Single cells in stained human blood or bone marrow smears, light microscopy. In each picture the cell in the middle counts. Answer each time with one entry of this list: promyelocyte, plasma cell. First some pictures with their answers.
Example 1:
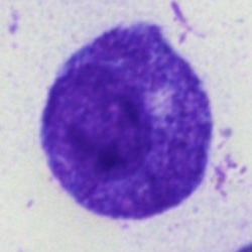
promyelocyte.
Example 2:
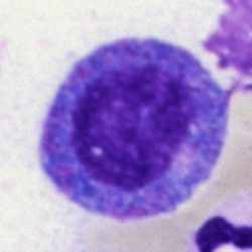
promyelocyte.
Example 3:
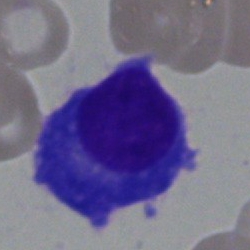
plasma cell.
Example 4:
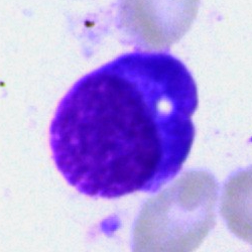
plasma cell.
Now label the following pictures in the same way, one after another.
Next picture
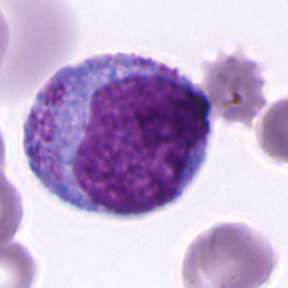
promyelocyte.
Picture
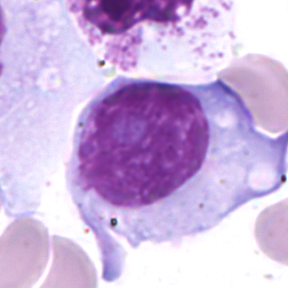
plasma cell.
